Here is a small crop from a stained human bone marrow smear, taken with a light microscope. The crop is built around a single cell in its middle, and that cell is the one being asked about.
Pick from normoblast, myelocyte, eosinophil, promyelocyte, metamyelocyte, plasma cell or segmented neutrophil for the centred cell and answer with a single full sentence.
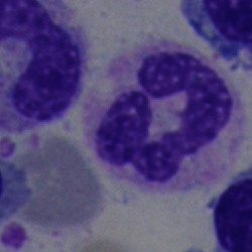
The centrally placed cell is classified as a segmented neutrophil.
